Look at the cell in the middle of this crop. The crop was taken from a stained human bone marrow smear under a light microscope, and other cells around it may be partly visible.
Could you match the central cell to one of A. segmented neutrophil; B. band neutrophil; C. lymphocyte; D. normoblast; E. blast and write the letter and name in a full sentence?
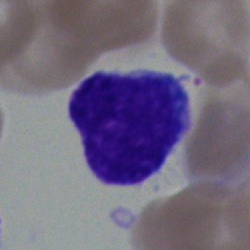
Option E is correct, naming the cell in the middle as a blast.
